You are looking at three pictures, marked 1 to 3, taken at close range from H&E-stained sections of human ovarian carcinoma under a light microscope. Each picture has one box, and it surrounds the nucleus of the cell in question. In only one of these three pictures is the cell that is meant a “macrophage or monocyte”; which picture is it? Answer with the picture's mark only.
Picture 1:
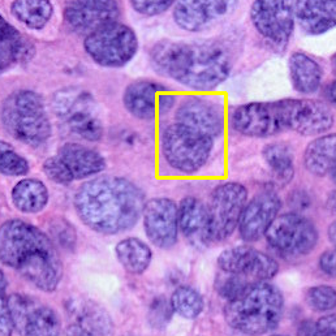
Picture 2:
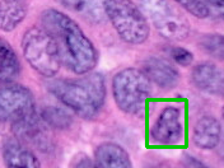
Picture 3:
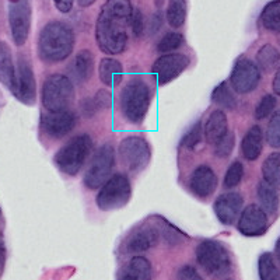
2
